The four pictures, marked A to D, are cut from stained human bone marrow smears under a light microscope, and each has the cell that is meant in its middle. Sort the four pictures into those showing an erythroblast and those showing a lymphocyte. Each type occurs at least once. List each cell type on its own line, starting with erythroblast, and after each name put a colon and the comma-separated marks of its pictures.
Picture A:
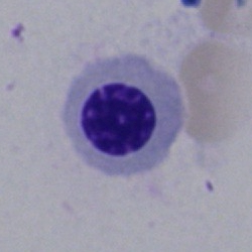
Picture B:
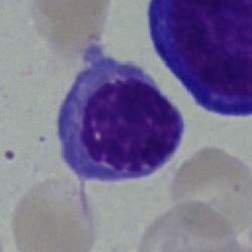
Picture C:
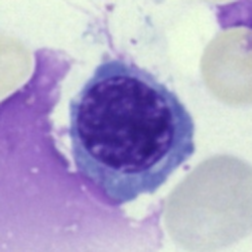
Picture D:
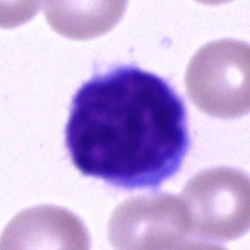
erythroblast: A, B, C
lymphocyte: D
